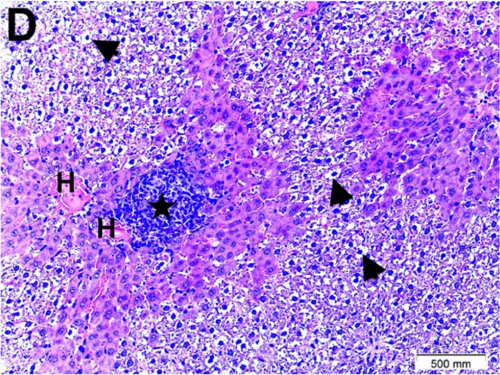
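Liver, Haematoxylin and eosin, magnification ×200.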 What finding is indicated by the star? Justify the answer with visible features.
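The star lies in a dense focus of small, dark blue round nuclei. The focus stands out against paler surrounding liver cells. On this evidence: heavy inflammatory infiltrates.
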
